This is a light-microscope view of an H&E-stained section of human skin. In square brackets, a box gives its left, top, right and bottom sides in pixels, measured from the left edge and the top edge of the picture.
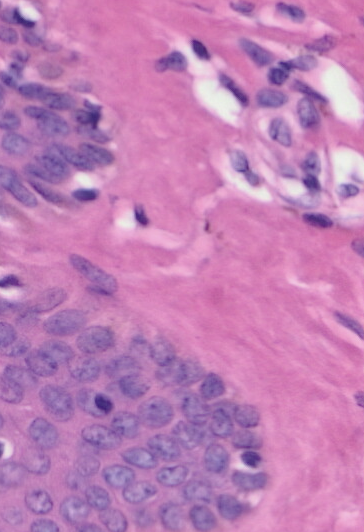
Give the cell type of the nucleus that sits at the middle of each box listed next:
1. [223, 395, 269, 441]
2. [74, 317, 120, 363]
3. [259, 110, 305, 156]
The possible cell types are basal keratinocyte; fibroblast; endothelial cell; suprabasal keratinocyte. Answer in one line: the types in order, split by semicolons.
basal keratinocyte; basal keratinocyte; endothelial cell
